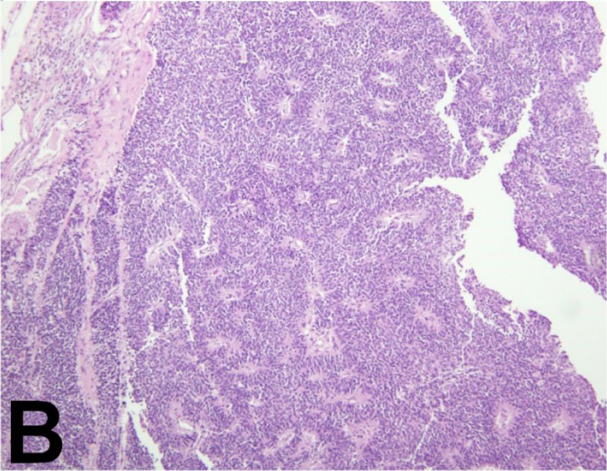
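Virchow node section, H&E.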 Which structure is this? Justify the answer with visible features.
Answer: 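Rosettes. A solid sheet of dark-purple cells. Many small pale pink centres scattered through the sheet with cells arranged radially around them.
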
